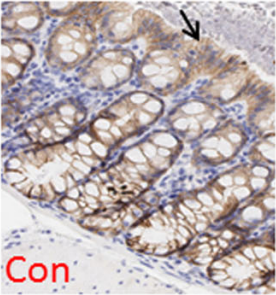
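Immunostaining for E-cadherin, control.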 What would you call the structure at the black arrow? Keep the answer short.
The top part of crypts.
